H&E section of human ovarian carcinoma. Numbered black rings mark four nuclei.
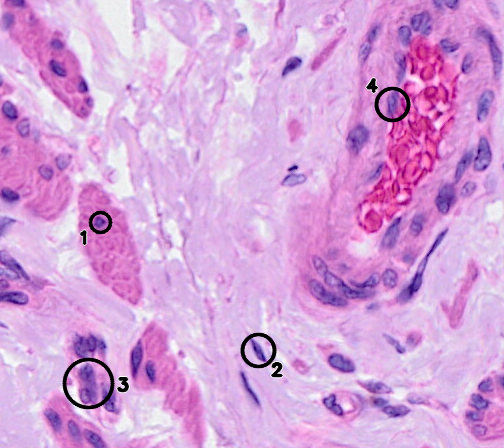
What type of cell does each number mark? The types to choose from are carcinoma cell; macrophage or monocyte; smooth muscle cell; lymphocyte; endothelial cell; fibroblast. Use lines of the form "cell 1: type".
cell 1: smooth muscle cell
cell 2: fibroblast
cell 3: endothelial cell
cell 4: endothelial cell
